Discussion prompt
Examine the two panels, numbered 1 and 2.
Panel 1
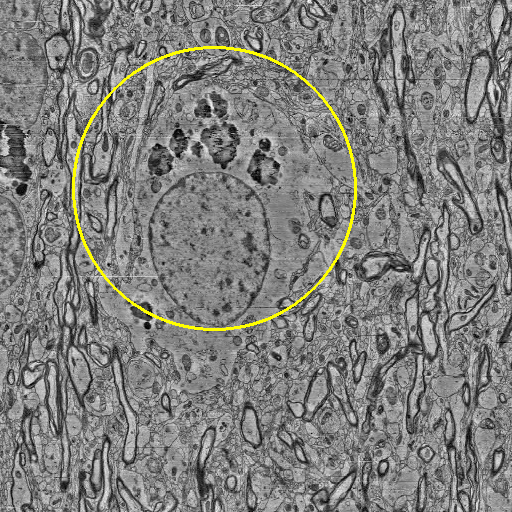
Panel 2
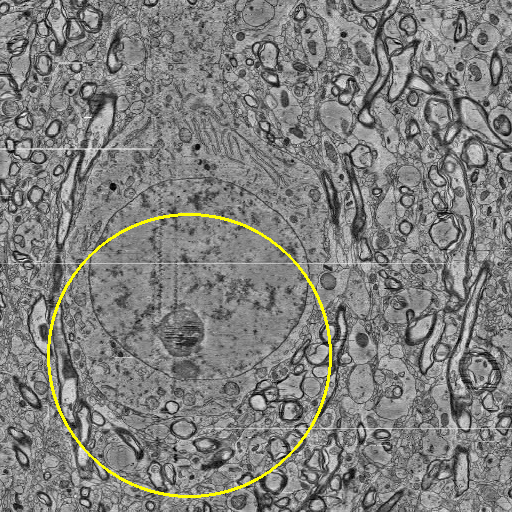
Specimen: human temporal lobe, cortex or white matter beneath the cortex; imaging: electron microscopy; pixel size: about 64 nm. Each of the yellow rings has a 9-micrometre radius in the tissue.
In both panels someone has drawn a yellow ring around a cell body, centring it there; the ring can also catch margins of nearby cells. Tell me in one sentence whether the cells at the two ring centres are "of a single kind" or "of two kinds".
Taken together, the two cells centred in the rings of Panels 1 and 2 are of two kinds.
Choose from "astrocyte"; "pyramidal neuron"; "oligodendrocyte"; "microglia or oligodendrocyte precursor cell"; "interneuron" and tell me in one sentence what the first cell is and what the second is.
What the first ring is centred on is an astrocyte; what the second ring is centred on is a pyramidal neuron.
